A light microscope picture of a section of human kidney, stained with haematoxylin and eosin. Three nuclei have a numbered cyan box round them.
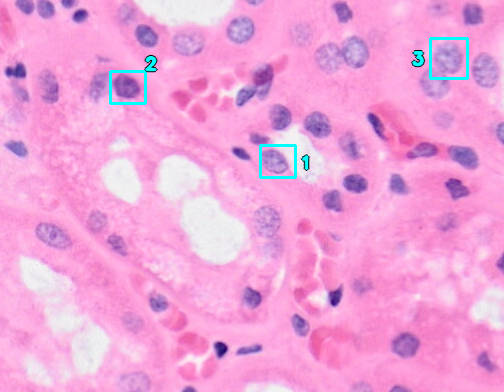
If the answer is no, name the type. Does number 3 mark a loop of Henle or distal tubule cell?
Yes.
